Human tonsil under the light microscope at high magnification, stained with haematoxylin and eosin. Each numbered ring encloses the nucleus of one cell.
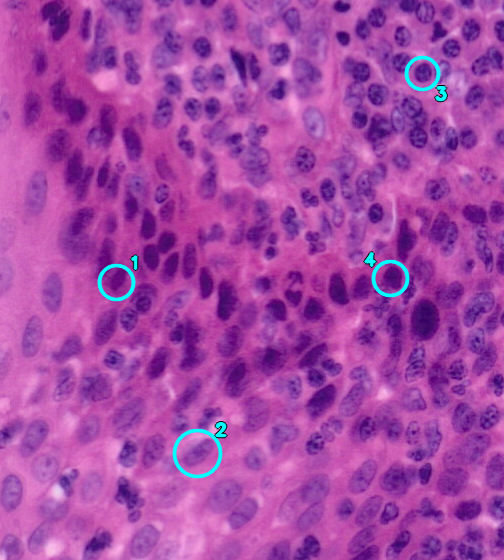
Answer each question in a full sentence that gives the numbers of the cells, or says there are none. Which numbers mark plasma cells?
Of those with numbers, only cell 3 is a plasma cell.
